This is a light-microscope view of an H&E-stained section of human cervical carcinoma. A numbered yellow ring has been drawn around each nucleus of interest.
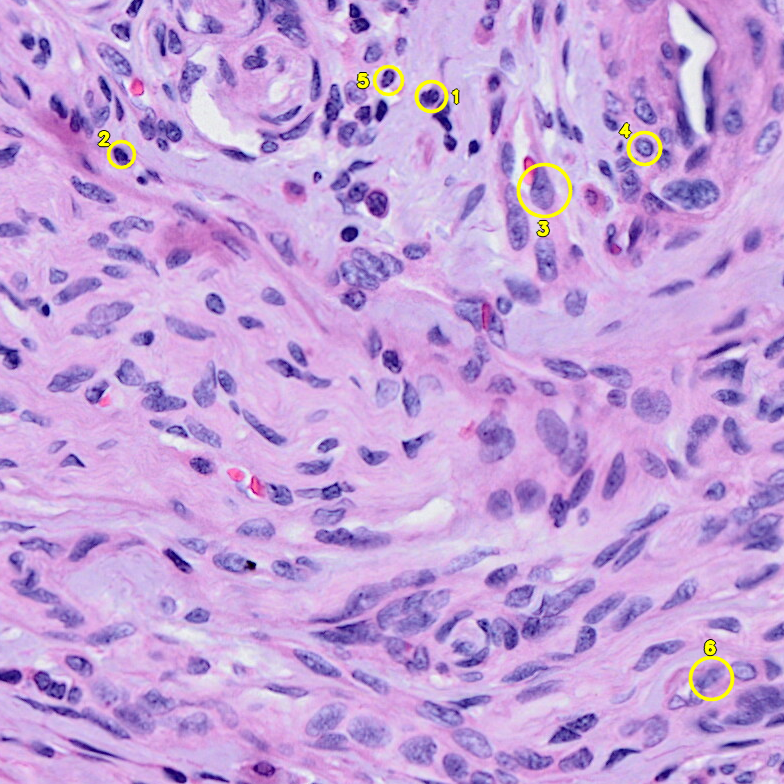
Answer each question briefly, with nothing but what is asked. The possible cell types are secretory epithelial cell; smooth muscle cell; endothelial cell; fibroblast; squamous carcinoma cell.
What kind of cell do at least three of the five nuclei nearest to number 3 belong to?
endothelial cell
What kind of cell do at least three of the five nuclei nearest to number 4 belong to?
smooth muscle cell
